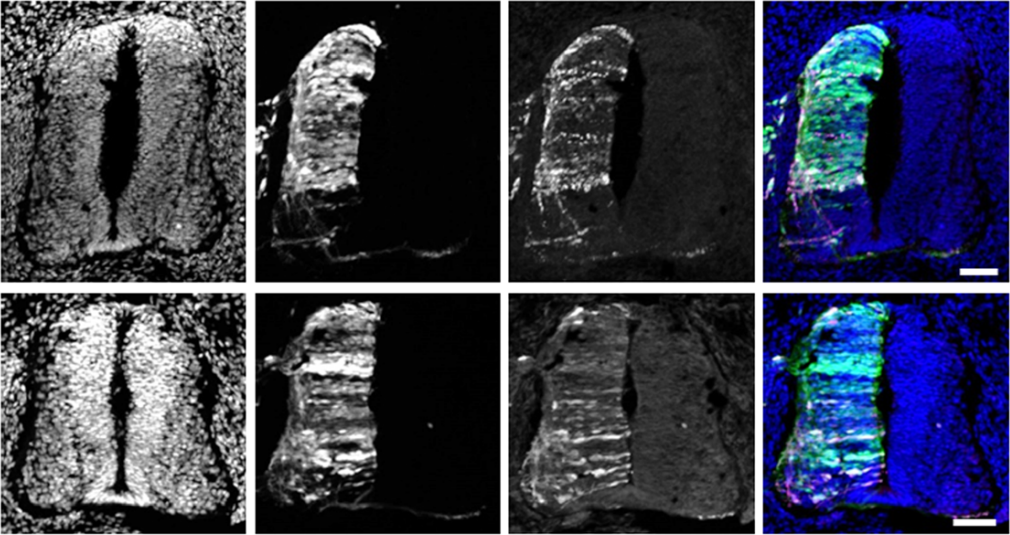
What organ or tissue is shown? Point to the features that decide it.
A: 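Cross sections of a tube-shaped tissue with a narrow slit-like central lumen. Densely packed nuclei fill the wall on both sides of the lumen. Fibres leave the ventral side of the section.
Conclusion: spinal cords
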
